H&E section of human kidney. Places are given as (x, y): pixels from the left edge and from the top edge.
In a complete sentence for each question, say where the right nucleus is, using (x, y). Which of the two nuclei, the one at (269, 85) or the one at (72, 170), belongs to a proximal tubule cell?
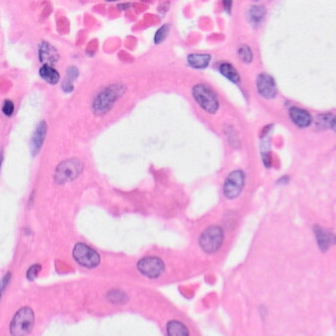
Of the two options, the nucleus at (72, 170) is the one that belongs to a proximal tubule cell.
